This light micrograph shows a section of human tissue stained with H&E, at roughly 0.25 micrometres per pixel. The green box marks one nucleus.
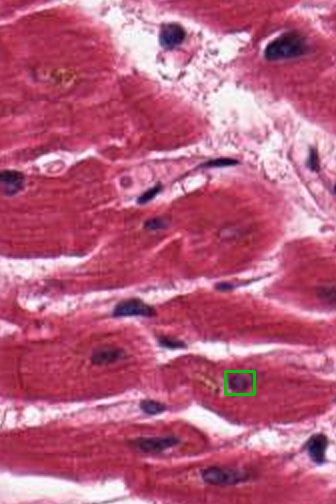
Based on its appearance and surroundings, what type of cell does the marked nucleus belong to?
cardiomyocyte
